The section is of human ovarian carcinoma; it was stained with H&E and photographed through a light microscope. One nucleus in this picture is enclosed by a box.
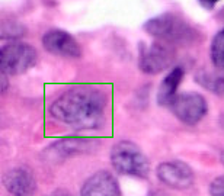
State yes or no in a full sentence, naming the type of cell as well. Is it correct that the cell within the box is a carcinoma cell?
No, it is an endothelial cell rather than a carcinoma cell that the cell within the box is.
